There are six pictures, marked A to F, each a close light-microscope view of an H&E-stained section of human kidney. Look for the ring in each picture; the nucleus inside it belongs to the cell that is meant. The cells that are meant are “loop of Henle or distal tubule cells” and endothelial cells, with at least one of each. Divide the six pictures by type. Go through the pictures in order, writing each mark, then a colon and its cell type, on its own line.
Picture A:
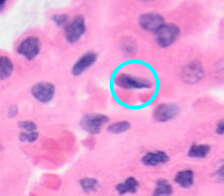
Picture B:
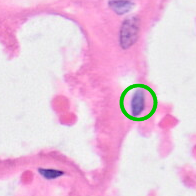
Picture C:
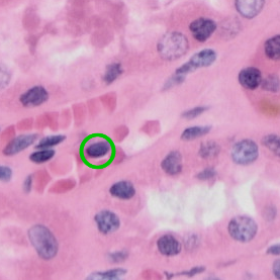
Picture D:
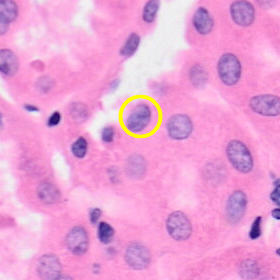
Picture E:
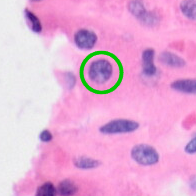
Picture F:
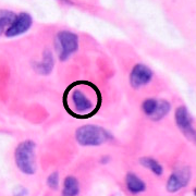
A: endothelial cell
B: endothelial cell
C: endothelial cell
D: loop of Henle or distal tubule cell
E: loop of Henle or distal tubule cell
F: endothelial cell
